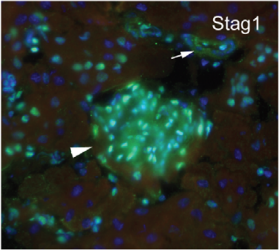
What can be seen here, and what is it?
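This is kidney cortex with a glomerulus in the centre, a rounded tuft of densely packed cells whose nuclei glow bright green, surrounded by tubules. The tubule cells around it have dimmer, reddish cytoplasm with nuclei lining the tubular profiles.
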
